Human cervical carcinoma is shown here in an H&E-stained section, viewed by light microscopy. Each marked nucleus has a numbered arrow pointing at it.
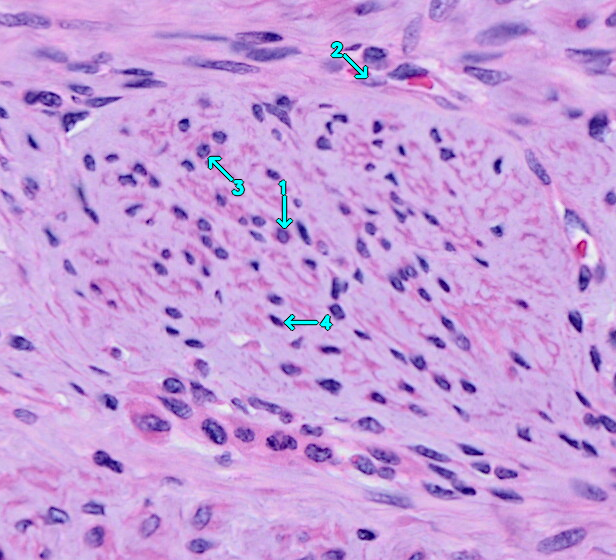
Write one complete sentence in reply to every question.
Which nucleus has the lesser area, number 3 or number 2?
Number 3 is smaller, since number 2 takes up about 1.5 times as much area.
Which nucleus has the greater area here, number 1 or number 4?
Of the two, number 1 is bigger and takes up about 1.5 times the area of number 4.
